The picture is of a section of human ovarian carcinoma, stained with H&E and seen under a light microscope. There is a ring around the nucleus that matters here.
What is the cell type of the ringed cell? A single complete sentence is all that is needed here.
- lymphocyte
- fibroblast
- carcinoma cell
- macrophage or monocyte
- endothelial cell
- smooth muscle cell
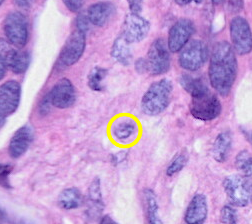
Within the stained tissue, the ringed cell is a macrophage or monocyte.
